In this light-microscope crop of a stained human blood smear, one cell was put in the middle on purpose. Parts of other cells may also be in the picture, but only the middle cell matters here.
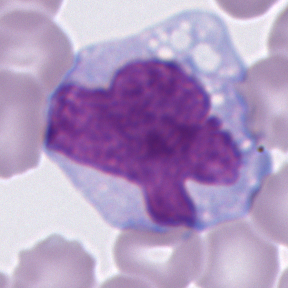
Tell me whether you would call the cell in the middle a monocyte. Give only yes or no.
yes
